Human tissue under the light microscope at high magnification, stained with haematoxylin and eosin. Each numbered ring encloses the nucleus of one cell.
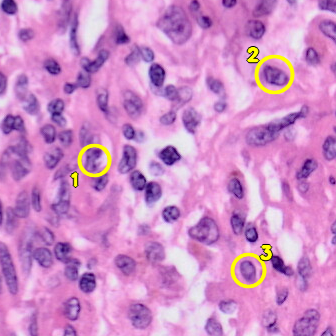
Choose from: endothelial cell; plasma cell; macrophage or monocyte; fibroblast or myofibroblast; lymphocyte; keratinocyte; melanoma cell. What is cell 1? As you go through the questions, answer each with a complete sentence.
Cell 1 of the marked set is an endothelial cell.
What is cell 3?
Here the cell numbered 3 is a macrophage or monocyte.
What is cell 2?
The nucleus labelled 2 belongs to a macrophage or monocyte.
